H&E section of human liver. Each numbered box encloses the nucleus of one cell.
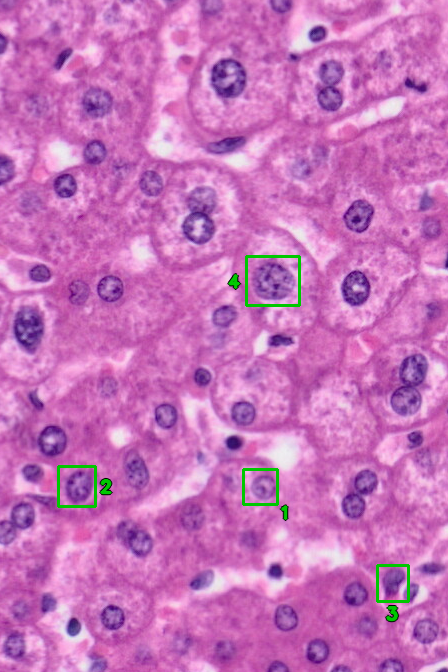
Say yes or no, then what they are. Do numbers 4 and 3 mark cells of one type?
No, cell 4 is a hepatocyte and cell 3 is a Kupffer cell.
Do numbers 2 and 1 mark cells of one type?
Yes, both are hepatocytes.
